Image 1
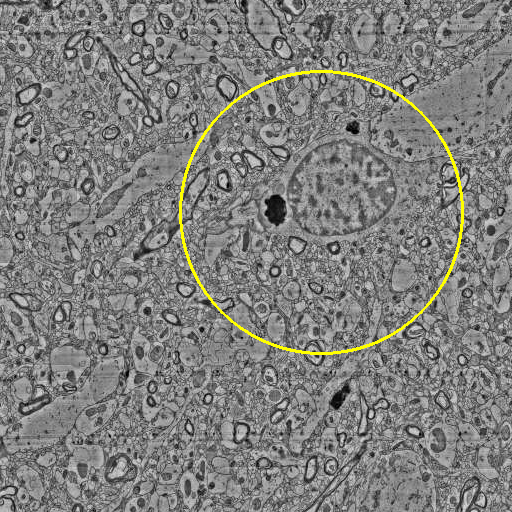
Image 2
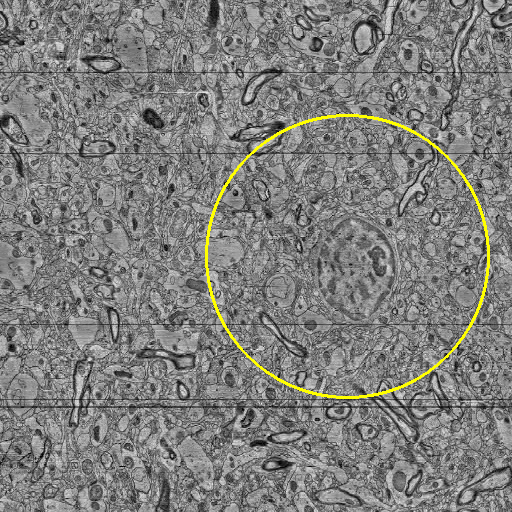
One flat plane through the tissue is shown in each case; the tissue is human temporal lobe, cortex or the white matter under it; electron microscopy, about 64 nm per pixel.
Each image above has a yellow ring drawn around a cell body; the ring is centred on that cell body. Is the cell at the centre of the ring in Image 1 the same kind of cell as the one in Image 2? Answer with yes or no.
yes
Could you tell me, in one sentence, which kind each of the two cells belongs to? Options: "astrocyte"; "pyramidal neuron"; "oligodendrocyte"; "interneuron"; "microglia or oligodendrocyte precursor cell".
Each one of the two ringed cells is an oligodendrocyte.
